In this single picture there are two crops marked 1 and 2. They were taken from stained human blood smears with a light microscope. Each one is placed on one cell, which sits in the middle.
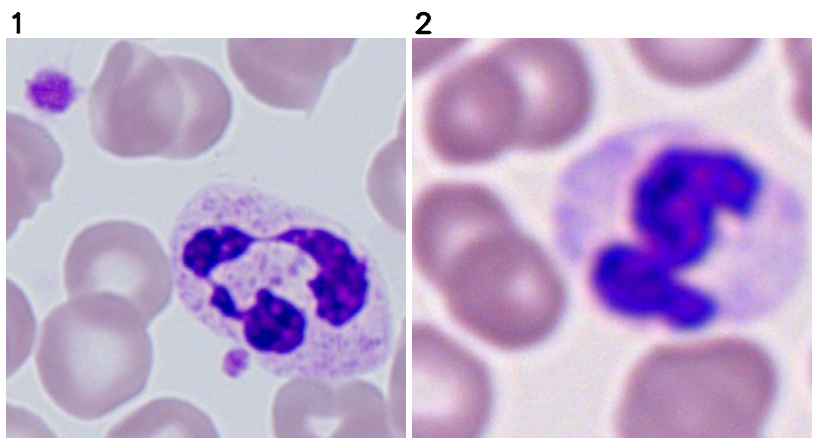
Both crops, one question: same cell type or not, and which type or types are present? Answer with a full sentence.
Yes, both crops show neutrophils, and the two match.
